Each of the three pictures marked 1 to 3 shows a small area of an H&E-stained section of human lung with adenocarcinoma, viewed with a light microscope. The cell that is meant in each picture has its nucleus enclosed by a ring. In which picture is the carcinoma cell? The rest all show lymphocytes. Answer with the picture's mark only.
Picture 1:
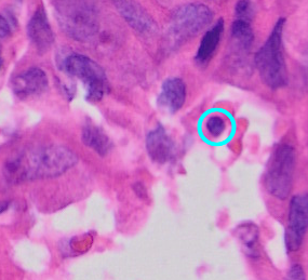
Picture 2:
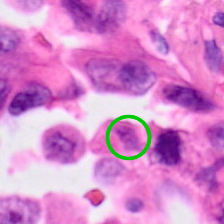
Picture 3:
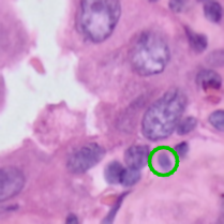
2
